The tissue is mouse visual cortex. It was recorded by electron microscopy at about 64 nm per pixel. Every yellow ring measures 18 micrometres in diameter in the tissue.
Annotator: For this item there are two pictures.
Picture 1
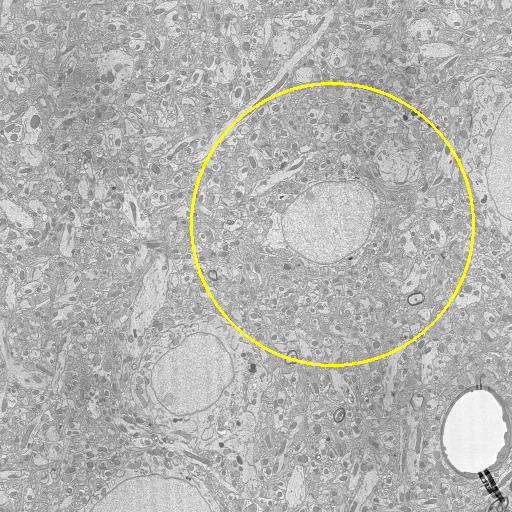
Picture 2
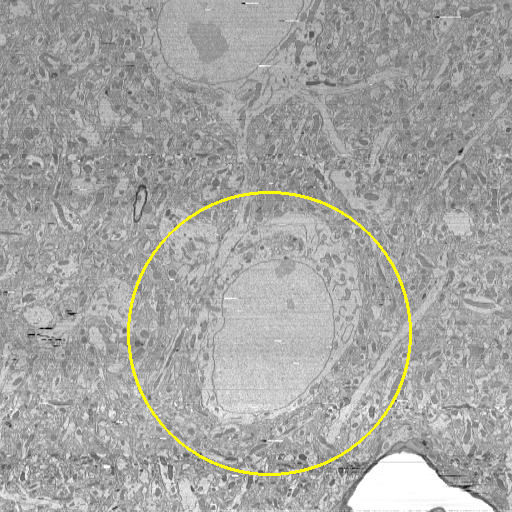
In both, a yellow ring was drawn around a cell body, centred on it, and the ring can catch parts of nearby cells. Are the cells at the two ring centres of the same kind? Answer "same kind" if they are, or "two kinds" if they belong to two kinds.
two kinds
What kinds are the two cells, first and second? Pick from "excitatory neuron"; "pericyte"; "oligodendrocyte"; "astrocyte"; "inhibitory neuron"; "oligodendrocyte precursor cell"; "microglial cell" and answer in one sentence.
The second picture holds an excitatory neuron in its ring, and the first holds an astrocyte.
